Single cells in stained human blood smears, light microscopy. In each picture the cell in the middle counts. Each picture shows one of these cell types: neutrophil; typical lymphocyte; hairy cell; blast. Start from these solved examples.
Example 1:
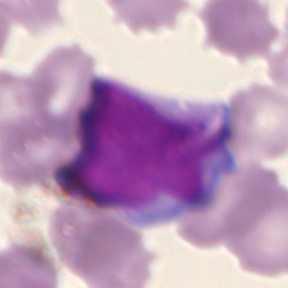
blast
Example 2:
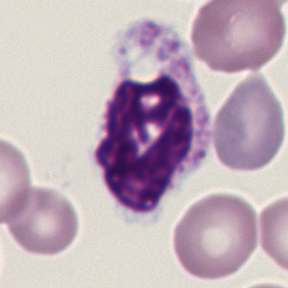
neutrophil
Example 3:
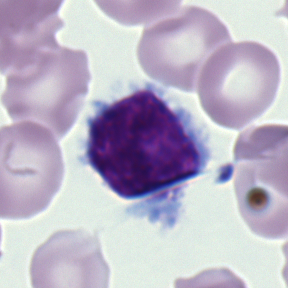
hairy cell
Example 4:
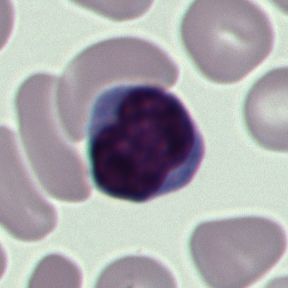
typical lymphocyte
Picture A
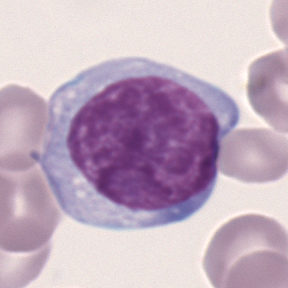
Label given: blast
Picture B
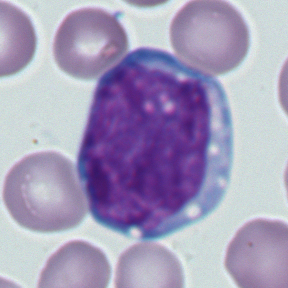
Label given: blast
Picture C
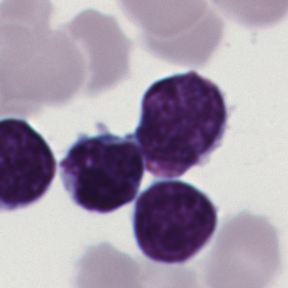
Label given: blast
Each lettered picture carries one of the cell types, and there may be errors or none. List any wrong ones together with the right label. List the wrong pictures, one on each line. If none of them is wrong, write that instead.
All labels are correct.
